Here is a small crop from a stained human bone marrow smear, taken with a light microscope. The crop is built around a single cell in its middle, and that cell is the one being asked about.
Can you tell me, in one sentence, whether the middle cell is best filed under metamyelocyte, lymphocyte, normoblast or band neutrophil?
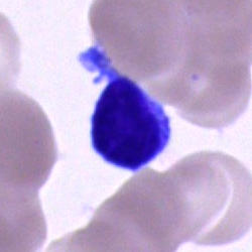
At the crop's centre, the cell is a lymphocyte.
